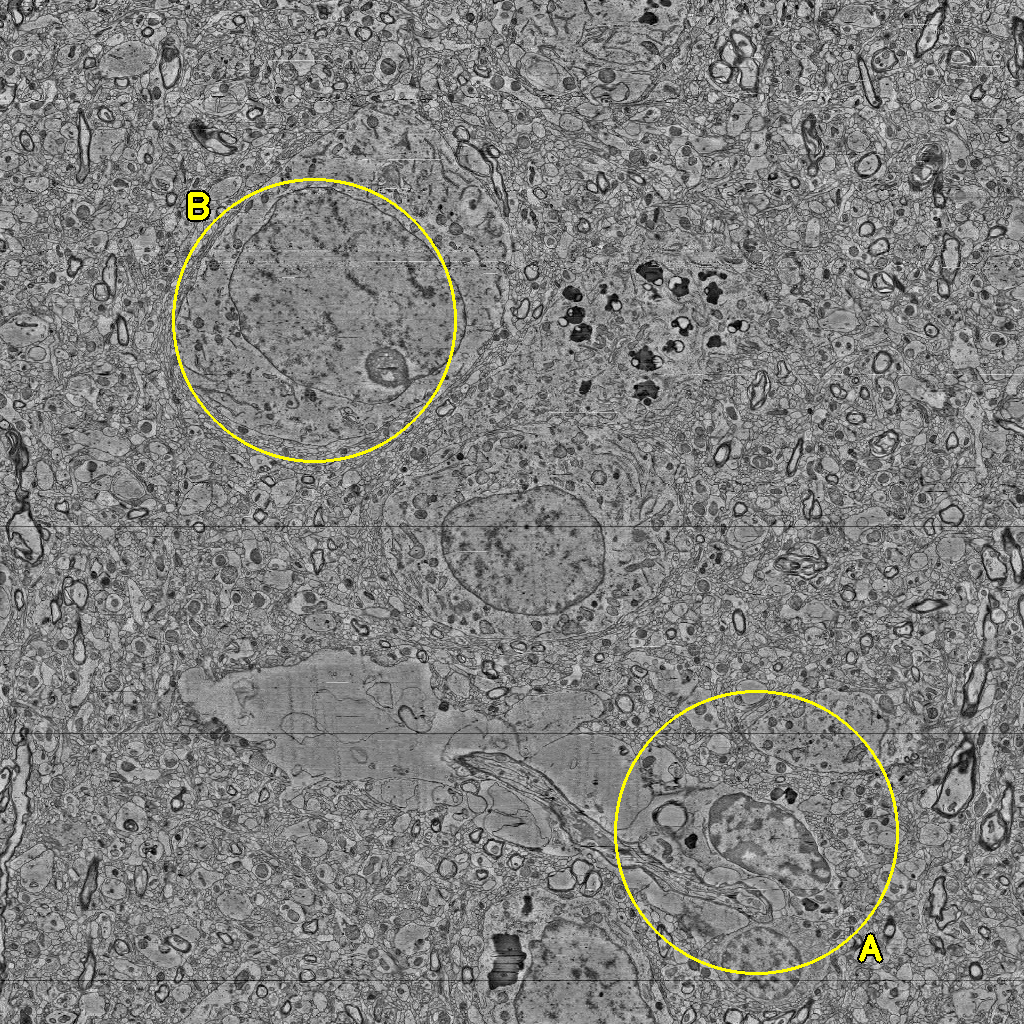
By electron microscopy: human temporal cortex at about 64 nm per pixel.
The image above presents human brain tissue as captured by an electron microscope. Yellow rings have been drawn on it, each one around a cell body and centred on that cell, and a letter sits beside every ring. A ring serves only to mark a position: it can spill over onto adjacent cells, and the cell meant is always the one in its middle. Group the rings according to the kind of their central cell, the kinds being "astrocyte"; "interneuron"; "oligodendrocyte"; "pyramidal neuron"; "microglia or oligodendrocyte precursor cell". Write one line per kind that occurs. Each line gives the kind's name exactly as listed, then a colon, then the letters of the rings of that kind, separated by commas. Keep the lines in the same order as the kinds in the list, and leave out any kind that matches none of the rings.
pyramidal neuron: B
microglia or oligodendrocyte precursor cell: A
